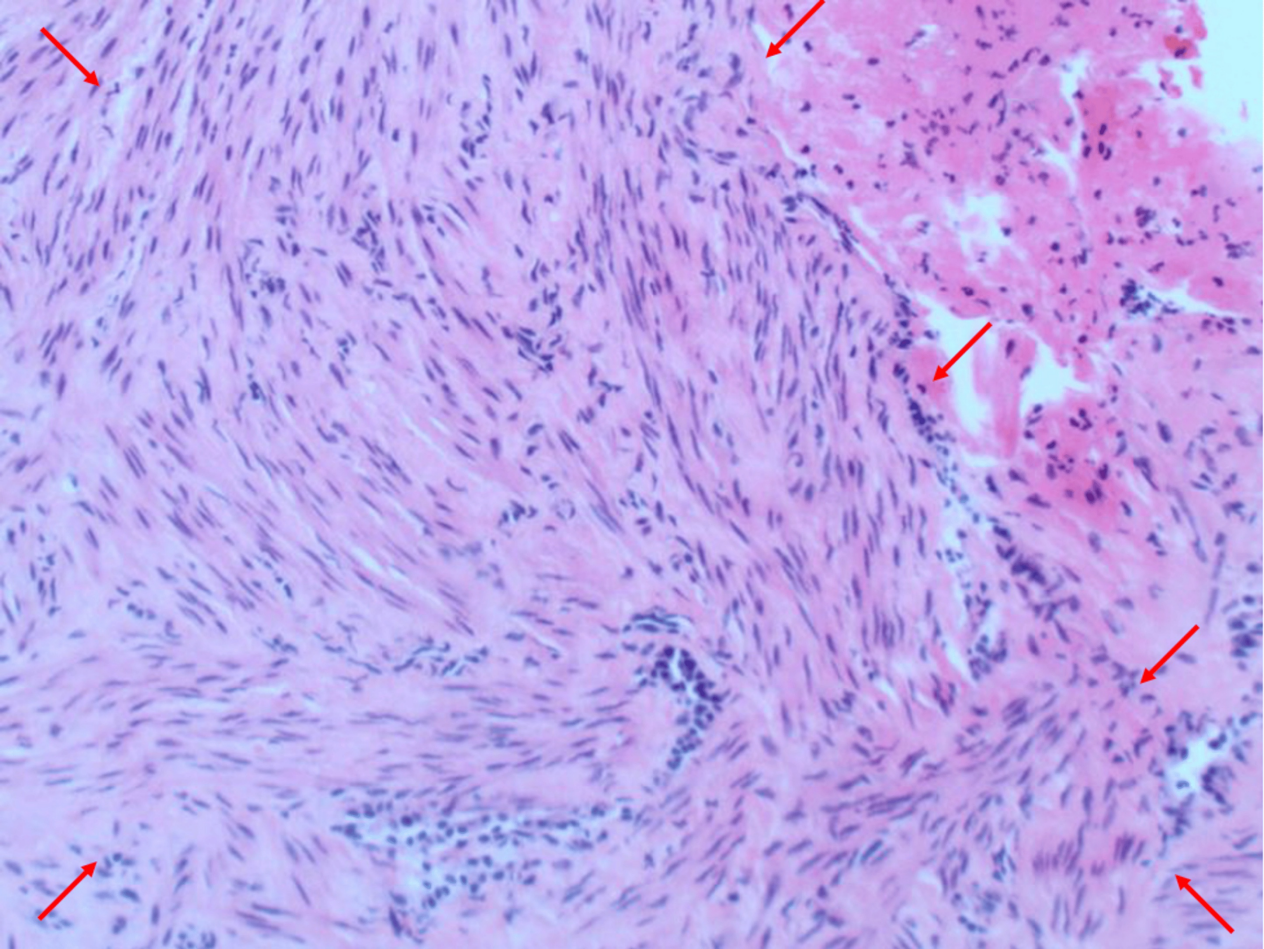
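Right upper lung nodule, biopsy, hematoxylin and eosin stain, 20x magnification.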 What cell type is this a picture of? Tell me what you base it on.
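Bland smooth muscle cells. Spindle-shaped cells with elongated, cigar-shaped nuclei. Abundant pink cytoplasm. Nuclei uniform without marked atypia.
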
